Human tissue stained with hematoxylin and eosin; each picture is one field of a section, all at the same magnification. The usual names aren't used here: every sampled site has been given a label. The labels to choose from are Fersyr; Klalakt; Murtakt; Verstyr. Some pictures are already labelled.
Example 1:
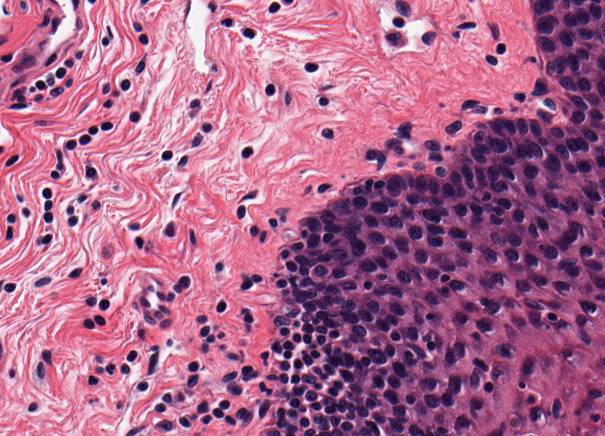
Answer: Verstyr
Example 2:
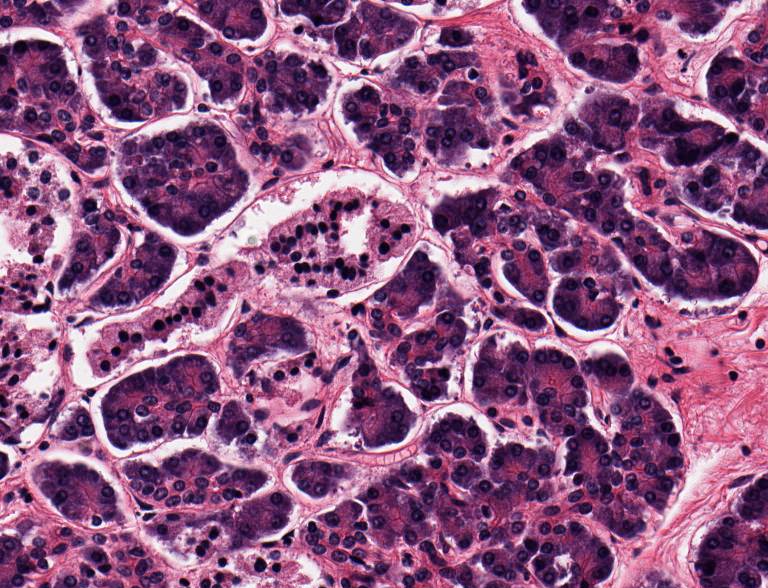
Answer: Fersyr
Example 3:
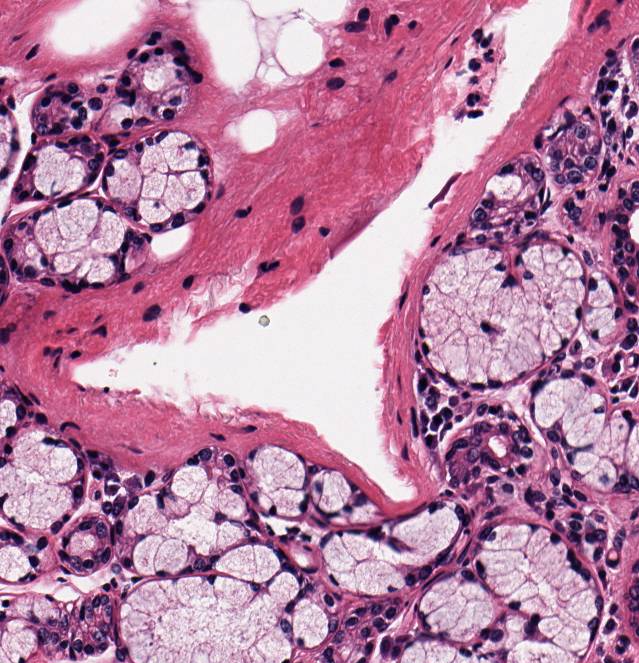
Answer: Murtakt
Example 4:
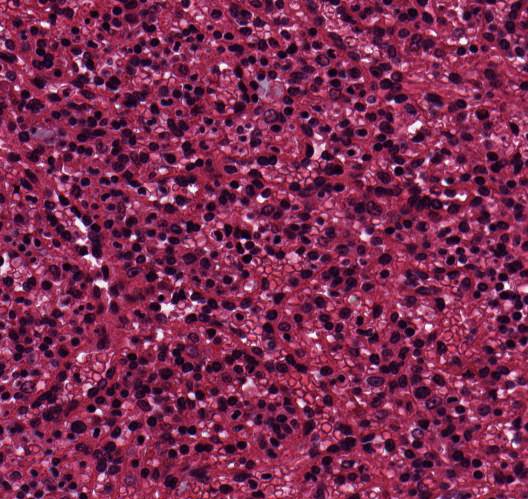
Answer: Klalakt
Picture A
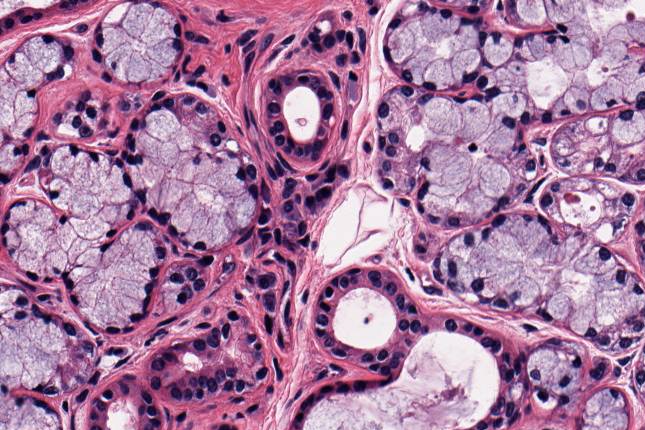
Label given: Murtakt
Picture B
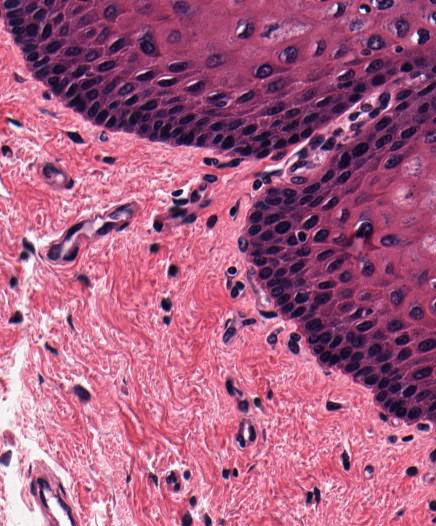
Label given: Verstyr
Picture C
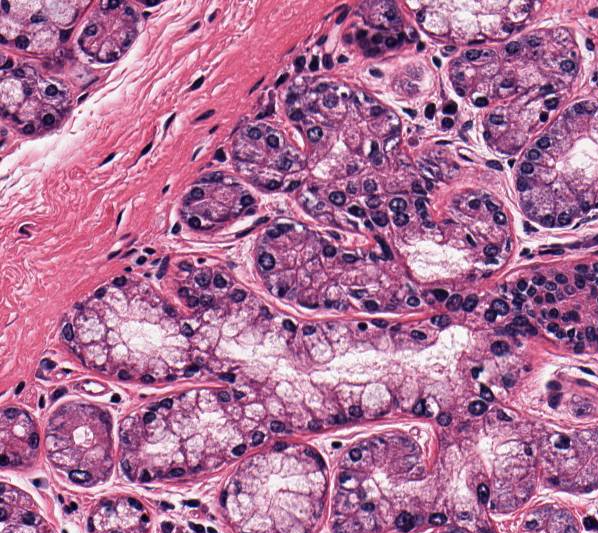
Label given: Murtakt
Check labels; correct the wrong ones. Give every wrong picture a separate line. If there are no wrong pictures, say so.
None of the labels needs changing.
